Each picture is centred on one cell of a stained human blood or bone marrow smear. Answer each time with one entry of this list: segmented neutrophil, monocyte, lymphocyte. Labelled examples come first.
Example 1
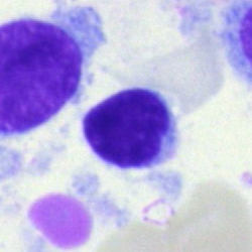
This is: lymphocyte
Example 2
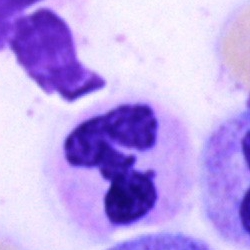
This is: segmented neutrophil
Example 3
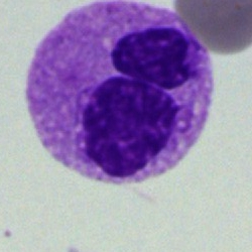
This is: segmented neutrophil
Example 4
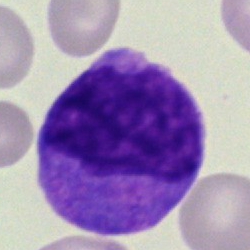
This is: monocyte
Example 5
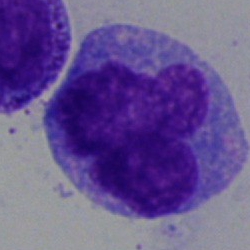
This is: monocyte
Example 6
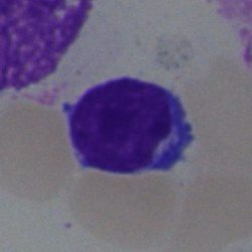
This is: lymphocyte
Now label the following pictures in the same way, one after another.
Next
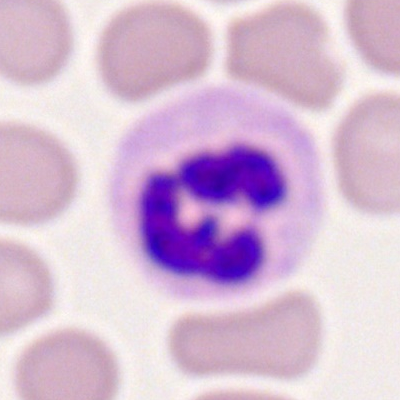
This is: segmented neutrophil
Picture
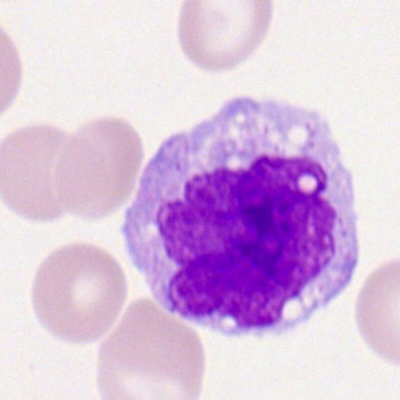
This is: monocyte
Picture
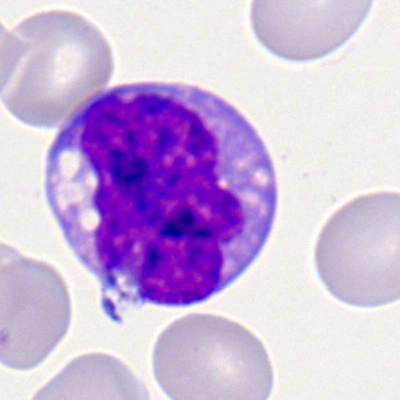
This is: monocyte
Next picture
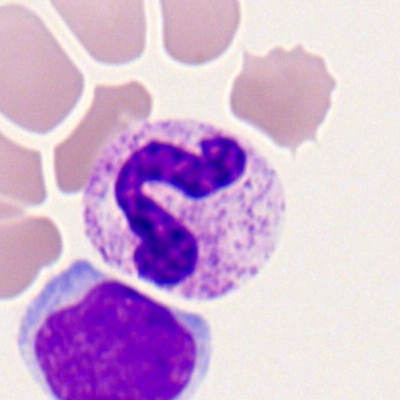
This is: segmented neutrophil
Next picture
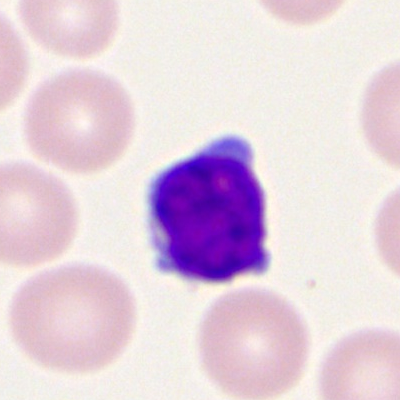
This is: lymphocyte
